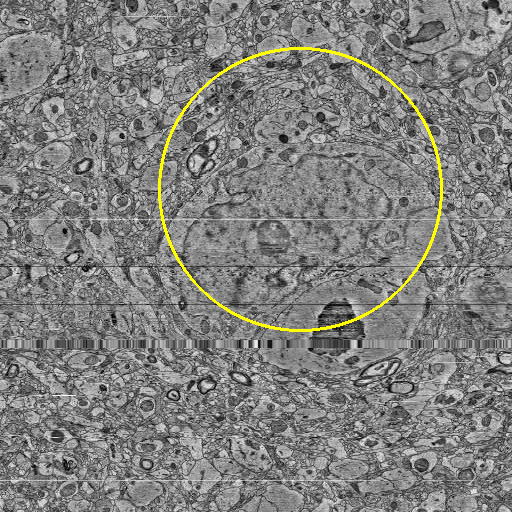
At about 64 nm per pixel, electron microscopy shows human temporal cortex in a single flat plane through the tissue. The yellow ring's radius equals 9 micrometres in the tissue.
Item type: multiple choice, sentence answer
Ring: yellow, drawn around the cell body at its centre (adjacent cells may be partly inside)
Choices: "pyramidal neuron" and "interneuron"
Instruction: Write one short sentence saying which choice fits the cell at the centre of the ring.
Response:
This ring is drawn around an interneuron.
